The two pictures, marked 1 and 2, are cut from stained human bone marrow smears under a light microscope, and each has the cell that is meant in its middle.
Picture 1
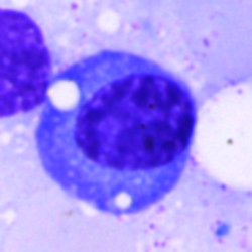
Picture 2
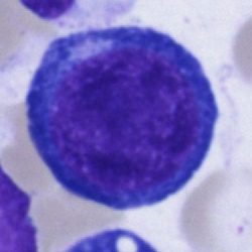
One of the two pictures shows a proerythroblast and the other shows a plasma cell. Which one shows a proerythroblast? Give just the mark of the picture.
2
